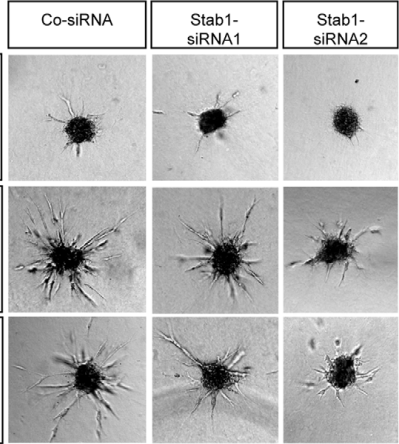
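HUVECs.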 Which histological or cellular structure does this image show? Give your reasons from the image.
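Spheroids. Each image shows a dense, round, dark cell aggregate in the middle. Thin sprouts extend radially from the aggregates, longer and more numerous in some images.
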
